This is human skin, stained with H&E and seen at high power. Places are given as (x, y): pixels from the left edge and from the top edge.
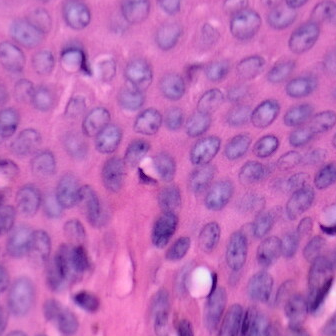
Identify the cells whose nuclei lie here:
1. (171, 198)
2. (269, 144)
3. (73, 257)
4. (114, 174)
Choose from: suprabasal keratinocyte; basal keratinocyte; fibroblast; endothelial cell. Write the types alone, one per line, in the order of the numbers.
basal keratinocyte
suprabasal keratinocyte
basal keratinocyte
basal keratinocyte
